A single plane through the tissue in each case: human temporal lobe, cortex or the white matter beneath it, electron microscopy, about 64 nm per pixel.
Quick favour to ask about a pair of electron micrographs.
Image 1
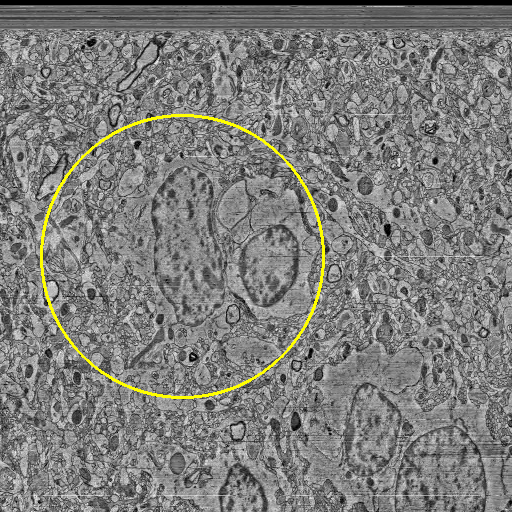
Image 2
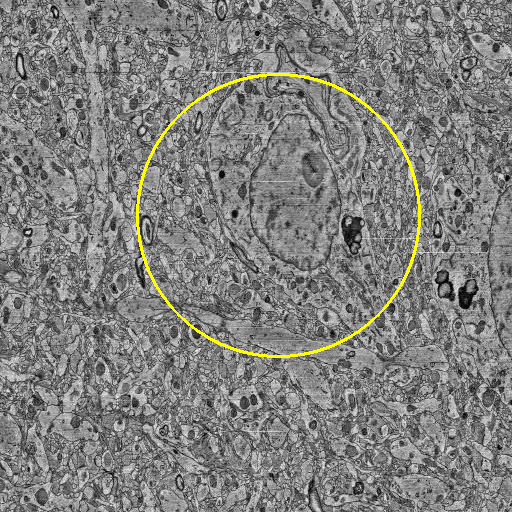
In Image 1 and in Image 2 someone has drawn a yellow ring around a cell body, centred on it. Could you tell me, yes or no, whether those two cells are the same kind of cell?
no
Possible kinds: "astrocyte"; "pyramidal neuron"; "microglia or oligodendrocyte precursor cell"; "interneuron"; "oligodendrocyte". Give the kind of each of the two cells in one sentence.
The cell in the second picture is a pyramidal neuron, and that in the first is an astrocyte.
